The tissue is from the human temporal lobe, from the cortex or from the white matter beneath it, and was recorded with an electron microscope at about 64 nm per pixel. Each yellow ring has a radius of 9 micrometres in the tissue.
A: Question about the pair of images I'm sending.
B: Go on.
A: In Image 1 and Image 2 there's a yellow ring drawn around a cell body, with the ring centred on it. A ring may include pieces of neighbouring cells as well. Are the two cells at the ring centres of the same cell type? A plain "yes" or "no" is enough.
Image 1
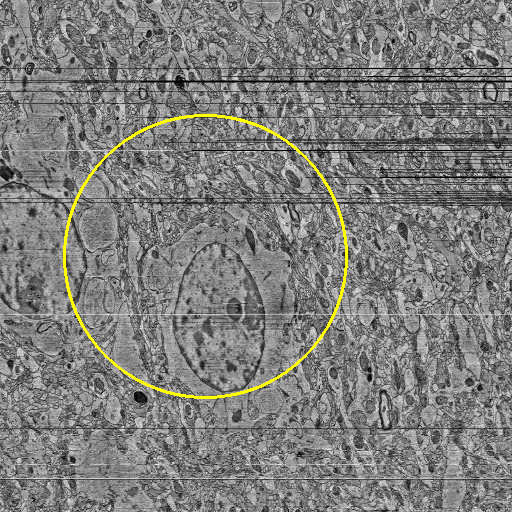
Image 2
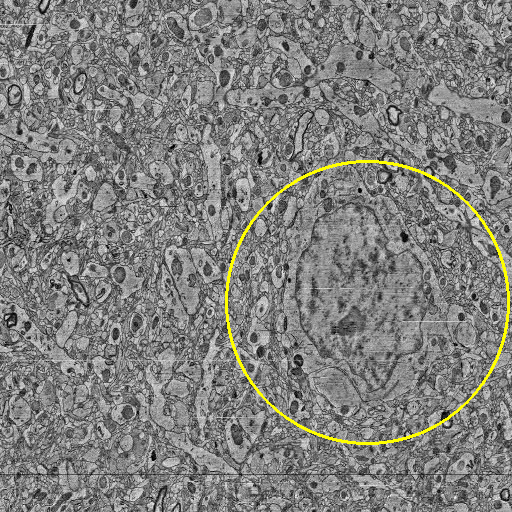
no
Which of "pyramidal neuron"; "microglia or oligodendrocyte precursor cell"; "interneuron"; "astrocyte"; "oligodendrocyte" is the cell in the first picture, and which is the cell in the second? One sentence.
The two differ: the first cell is an astrocyte and the second is an interneuron.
